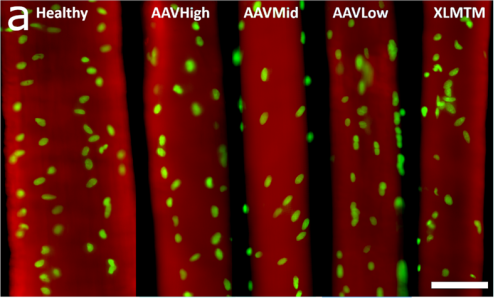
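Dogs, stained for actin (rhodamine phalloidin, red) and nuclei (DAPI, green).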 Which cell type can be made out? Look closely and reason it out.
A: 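Long, parallel, unbranched red cylinders run the full height of the image. Each cylinder carries many separate green nuclei along its length. No boundaries separate the nuclei within a cylinder, so each cylinder is one multinucleate cell.
Conclusion: myofibres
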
